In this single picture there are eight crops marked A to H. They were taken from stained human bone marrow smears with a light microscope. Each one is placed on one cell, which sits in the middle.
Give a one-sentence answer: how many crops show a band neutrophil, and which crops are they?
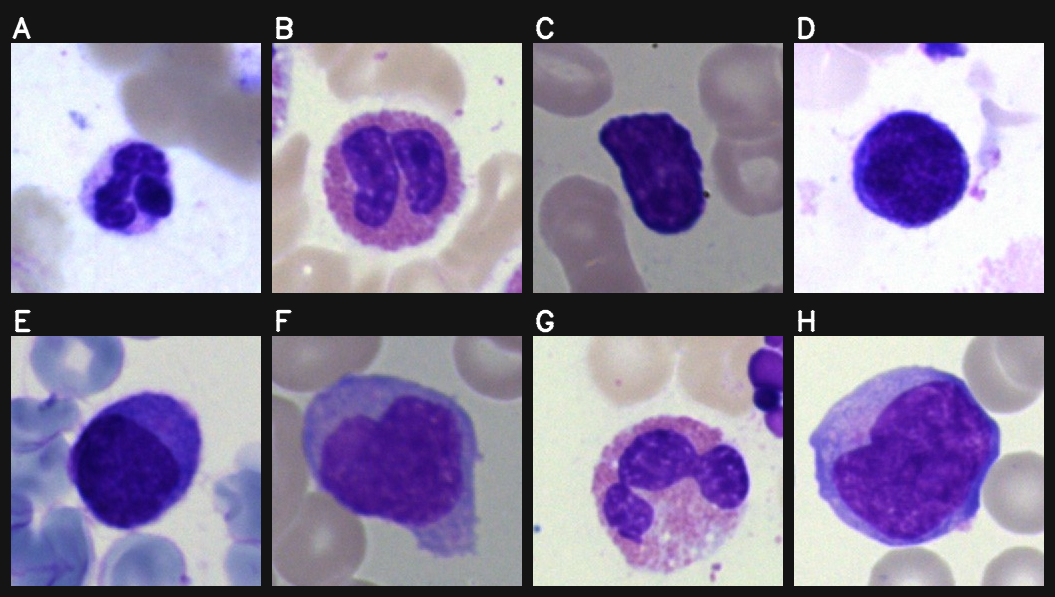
Regarding band neutrophils, not one crop shows any, so the count is zero.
